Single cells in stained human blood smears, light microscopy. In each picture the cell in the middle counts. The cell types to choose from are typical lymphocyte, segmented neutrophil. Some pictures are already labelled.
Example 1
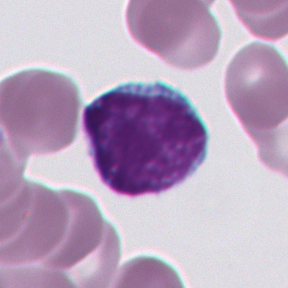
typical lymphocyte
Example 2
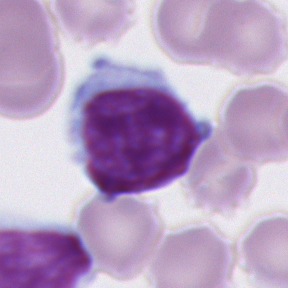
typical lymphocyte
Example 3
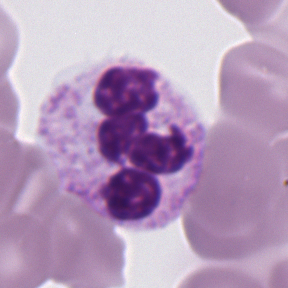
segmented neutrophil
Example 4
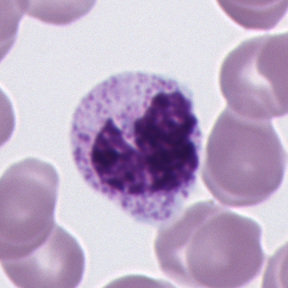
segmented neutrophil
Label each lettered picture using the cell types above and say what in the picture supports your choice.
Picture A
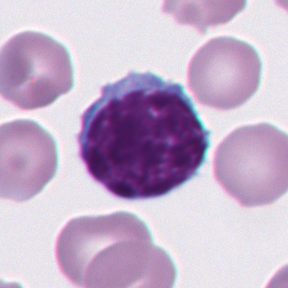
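typical lymphocyte. Reason: The cytoplasm forms a scant rim that is widest at the top of the cell.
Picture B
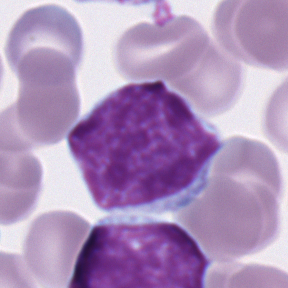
typical lymphocyte. Reason: The nucleus fills almost the whole cell.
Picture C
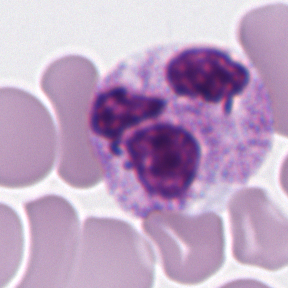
segmented neutrophil. Reason: The cytoplasm is plentiful and pale pink.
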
